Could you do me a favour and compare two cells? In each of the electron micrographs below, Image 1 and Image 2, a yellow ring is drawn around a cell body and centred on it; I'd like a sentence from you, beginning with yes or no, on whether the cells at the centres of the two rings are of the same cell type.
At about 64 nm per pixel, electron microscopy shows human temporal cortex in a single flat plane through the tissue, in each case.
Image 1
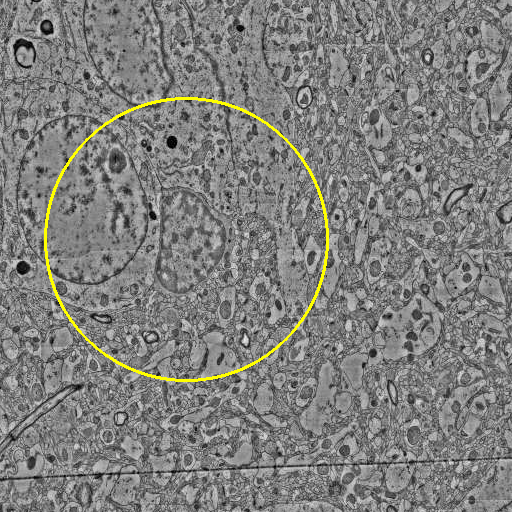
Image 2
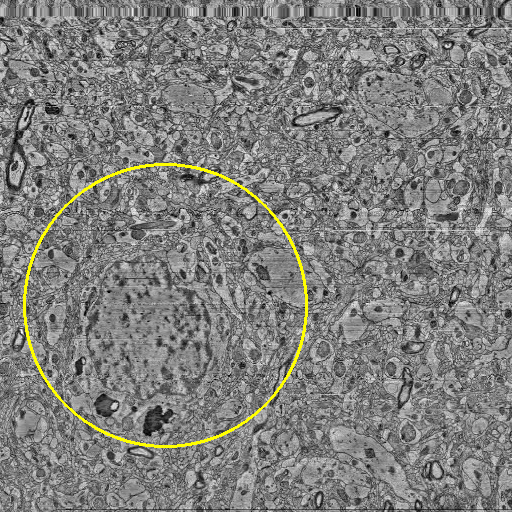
No, the two cells are of two cell types.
